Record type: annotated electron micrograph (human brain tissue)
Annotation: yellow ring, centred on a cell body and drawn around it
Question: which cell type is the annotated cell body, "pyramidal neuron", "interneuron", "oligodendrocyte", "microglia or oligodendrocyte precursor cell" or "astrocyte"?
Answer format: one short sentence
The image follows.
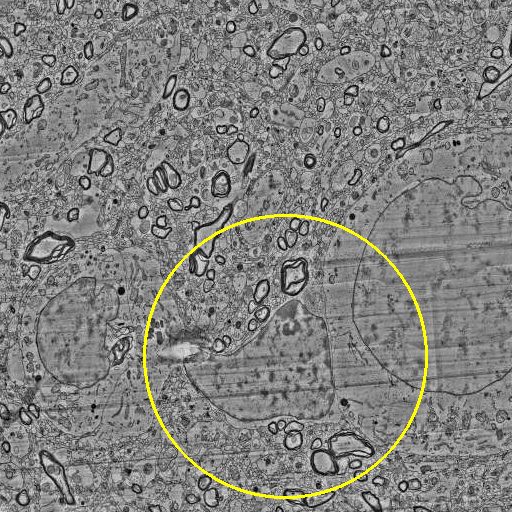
The annotated cell body is that of a microglial cell or oligodendrocyte precursor cell.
